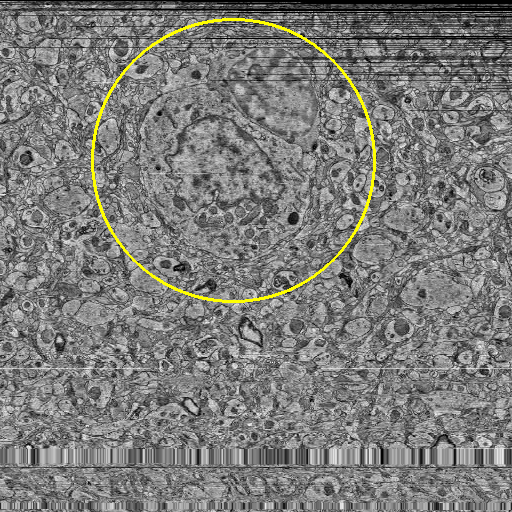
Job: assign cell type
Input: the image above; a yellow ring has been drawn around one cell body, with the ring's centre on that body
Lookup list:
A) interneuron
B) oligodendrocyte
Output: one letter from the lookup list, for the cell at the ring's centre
A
